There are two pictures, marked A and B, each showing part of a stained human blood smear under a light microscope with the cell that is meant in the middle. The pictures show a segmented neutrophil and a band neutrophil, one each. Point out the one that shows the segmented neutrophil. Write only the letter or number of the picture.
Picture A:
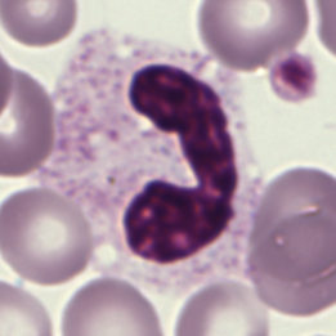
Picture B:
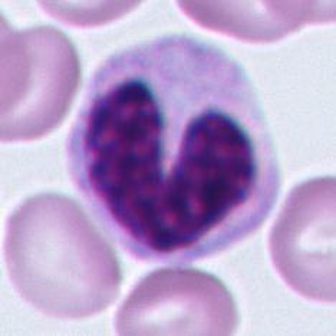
A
